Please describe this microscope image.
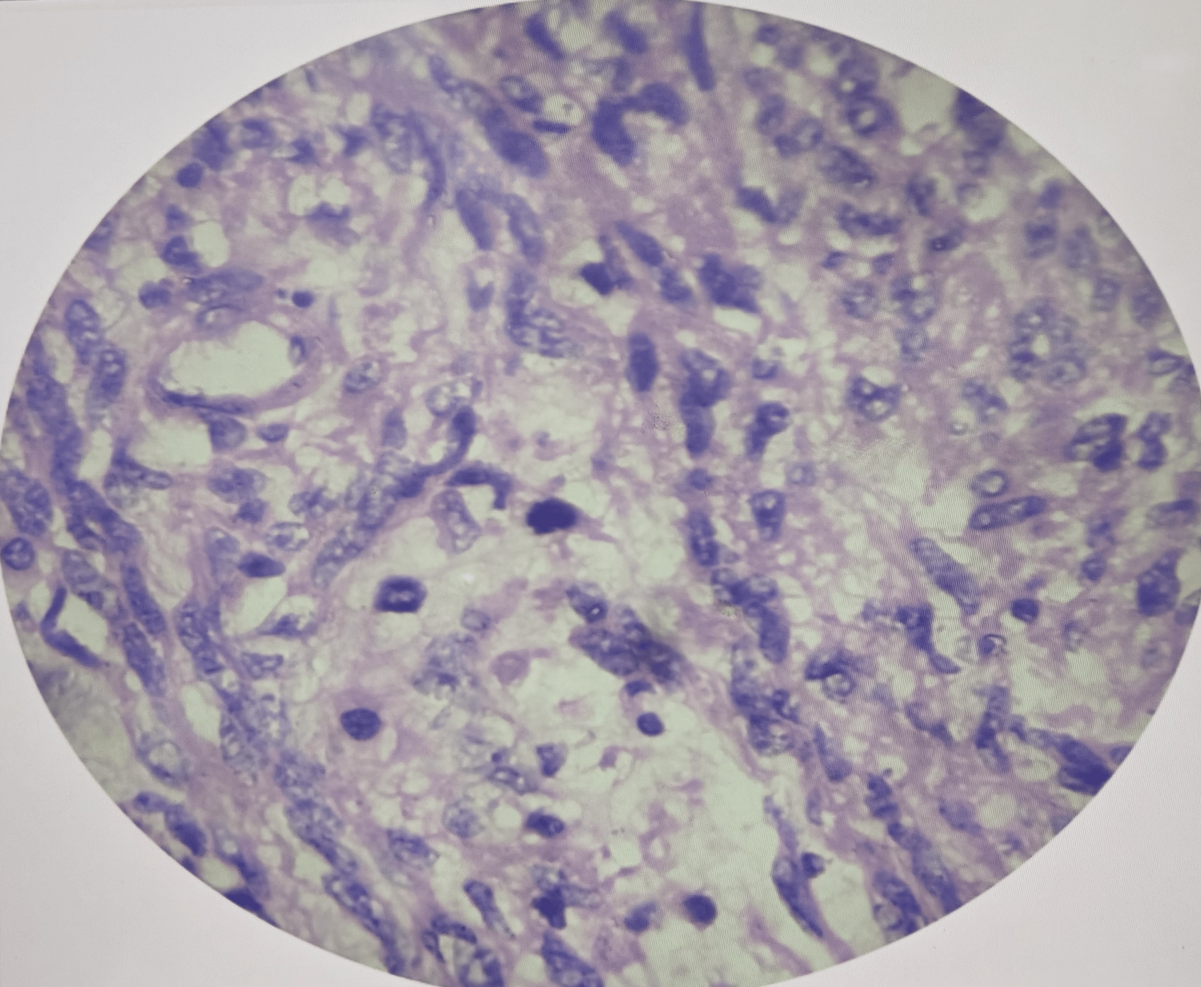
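This is a tumor made of spindle to ovoid cells showing mild-to-moderate cytologic atypia. The cells lie in loose bands and streams, in places running roughly parallel, set in a pale, finely vacuolated, bubbly-looking pinkish-lilac background. Their nuclei are oval to elongate, some cigar-like, others plump. They vary moderately in size and outline, with some irregular, crinkled or indented contours. A scattering of nuclei are small, round and dense dark purple. The cytoplasm is pale pink with indistinct cell borders. A thin-walled vessel with an open lumen lies on the left. No sheets of dead tumor tissue are seen in the field.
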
